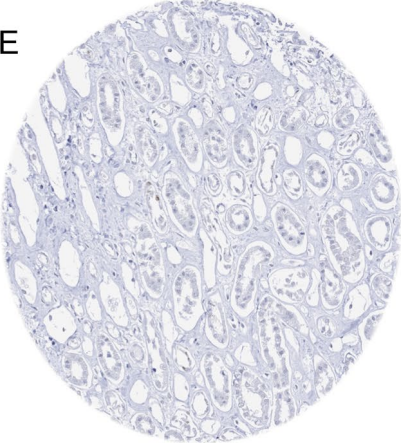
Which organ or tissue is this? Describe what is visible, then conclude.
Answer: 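Many small parallel and cross-cut tubules with flat to cuboidal lining. No glomeruli are visible. The tissue is unstained blue throughout.
Answer: renal medulla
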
